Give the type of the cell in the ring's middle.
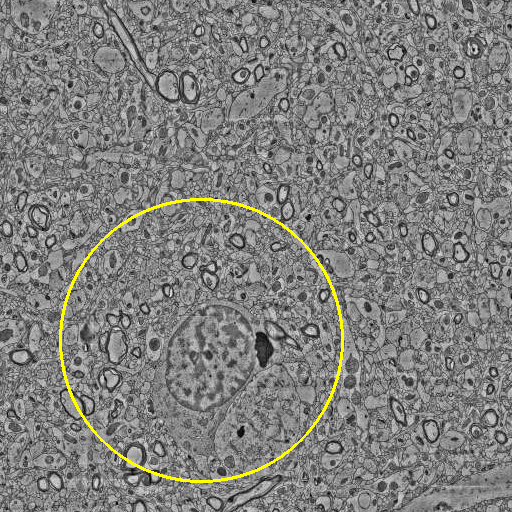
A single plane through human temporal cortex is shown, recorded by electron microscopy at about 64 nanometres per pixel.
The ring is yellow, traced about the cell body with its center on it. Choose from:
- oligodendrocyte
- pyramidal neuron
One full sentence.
Here, an oligodendrocyte is the cell lying at the center of the yellow ring.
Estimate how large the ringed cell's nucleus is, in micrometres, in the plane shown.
The nucleus works out at approximately 7 by 6 micrometres in this plane.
